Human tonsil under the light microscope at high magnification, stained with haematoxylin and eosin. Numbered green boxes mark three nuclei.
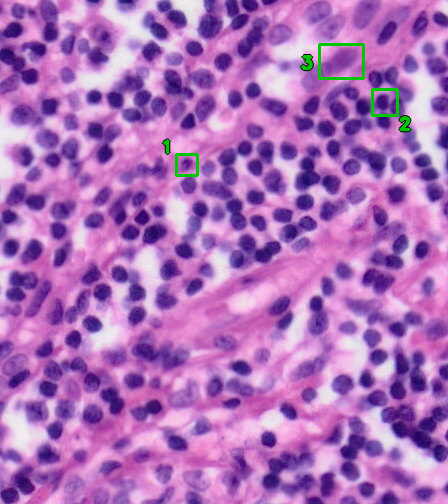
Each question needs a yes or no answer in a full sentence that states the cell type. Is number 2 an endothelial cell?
No, cell 2 is correctly identified as a small lymphocyte and not as an endothelial cell.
